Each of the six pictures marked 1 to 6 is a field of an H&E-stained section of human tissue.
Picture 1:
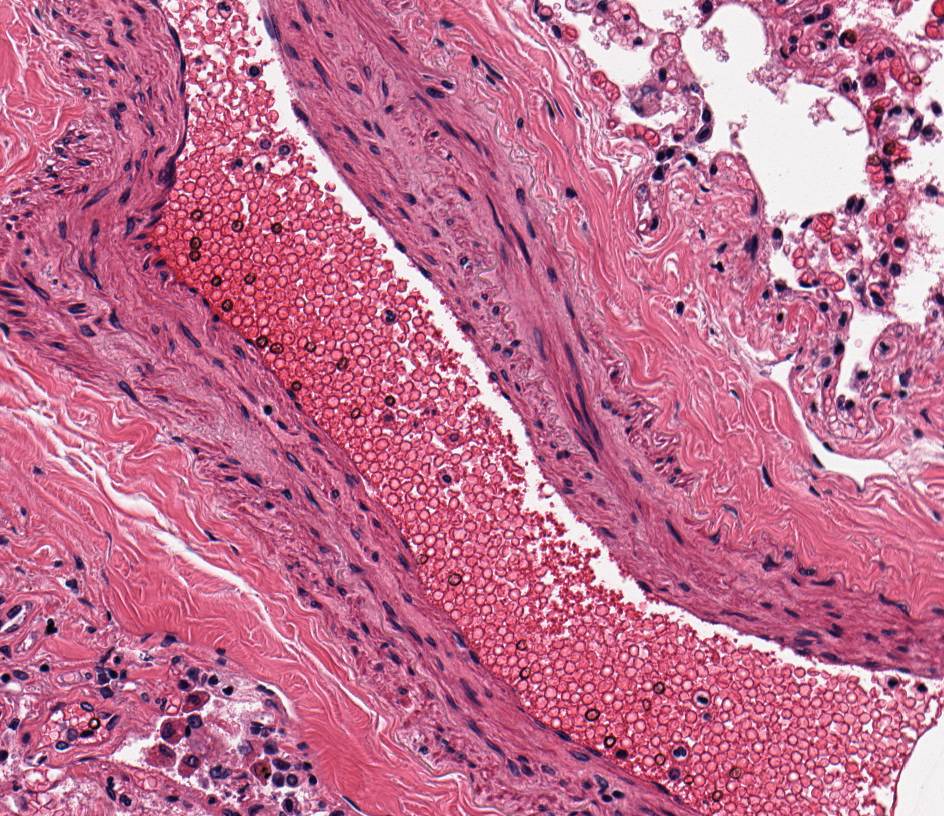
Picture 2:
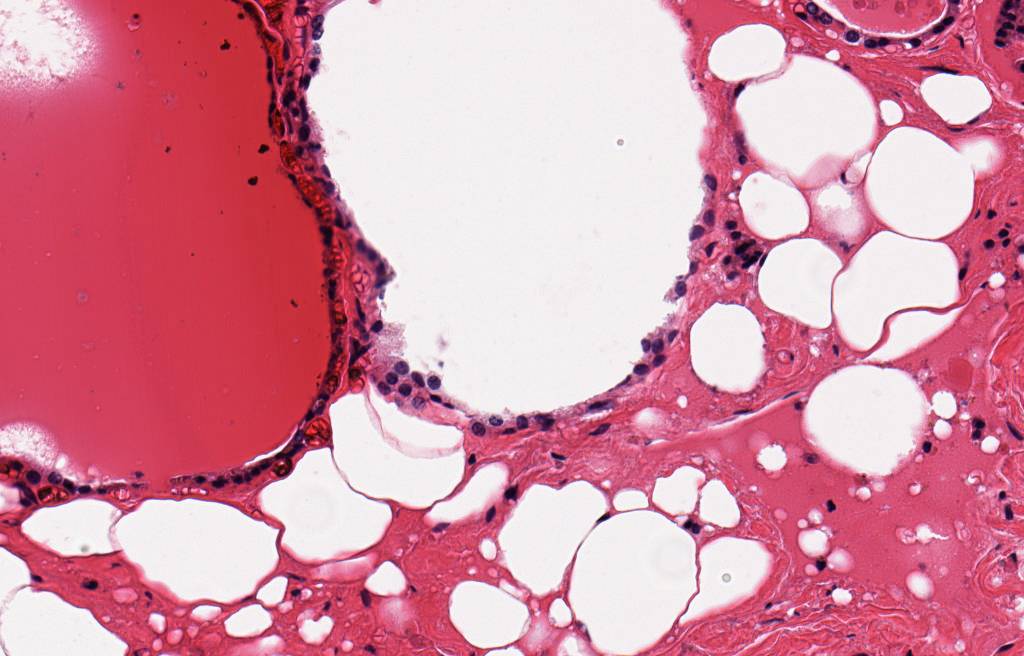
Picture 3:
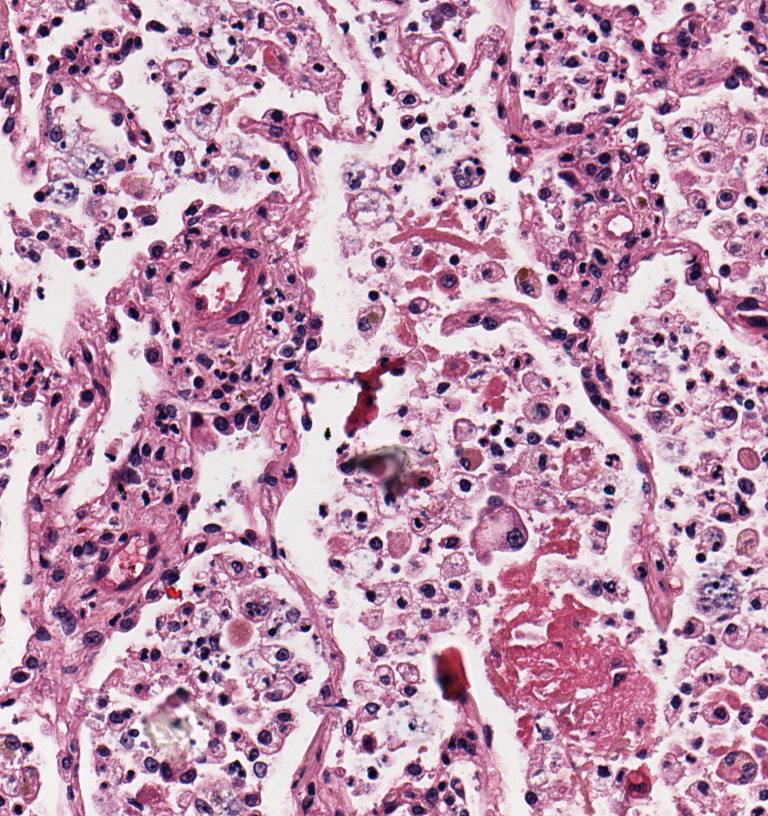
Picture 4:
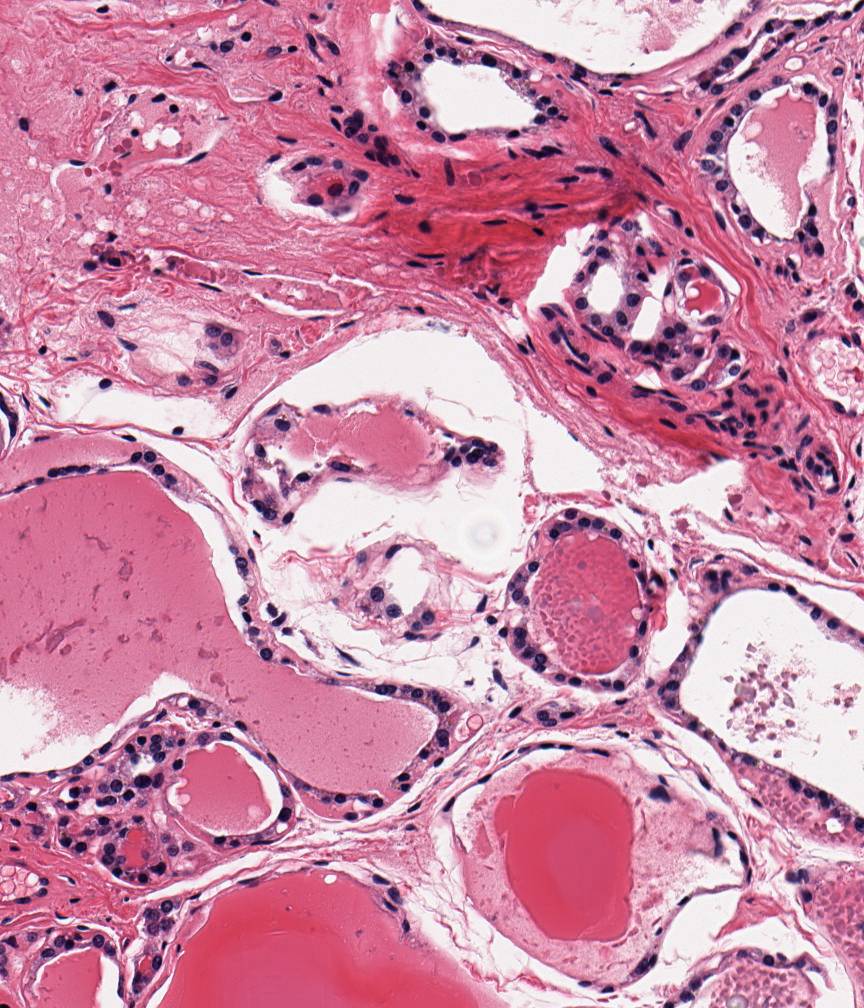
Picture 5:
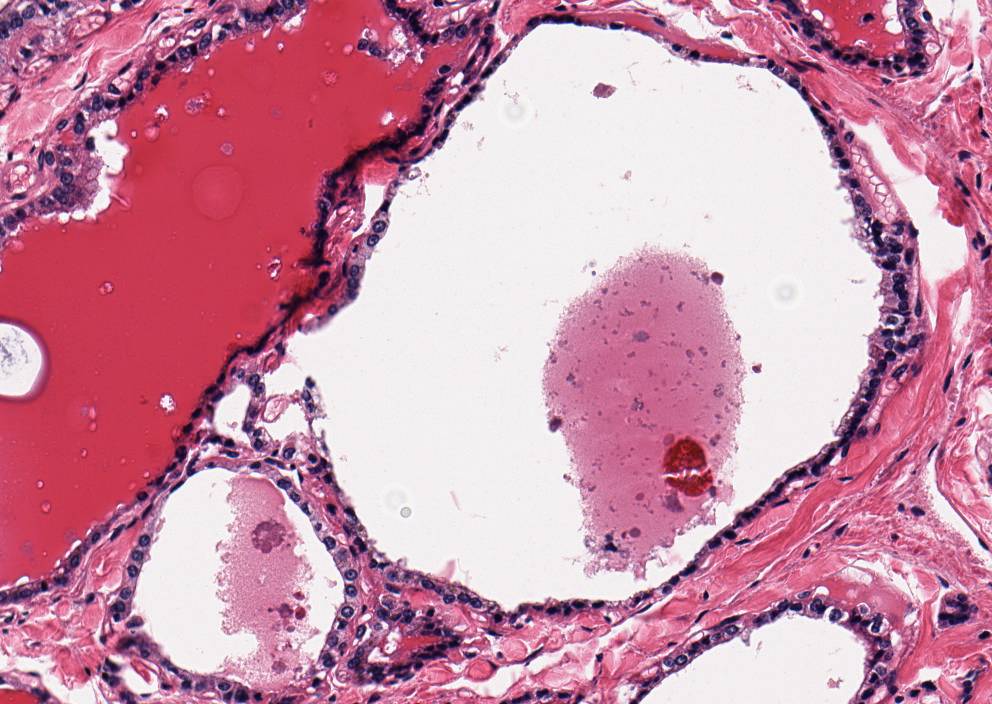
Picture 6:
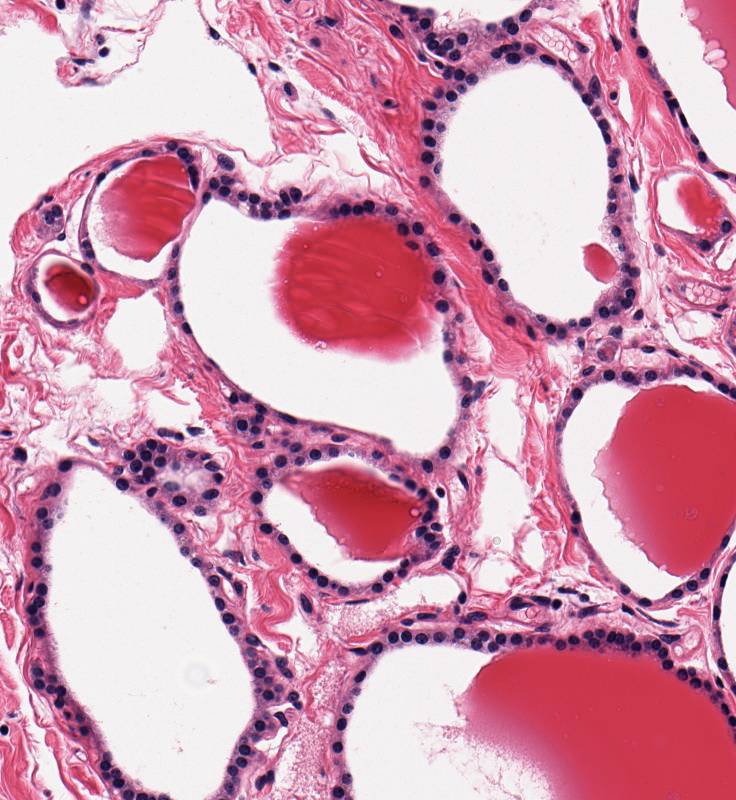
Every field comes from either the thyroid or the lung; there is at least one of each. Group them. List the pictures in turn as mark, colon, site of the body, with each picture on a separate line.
1: lung
2: thyroid
3: lung
4: thyroid
5: thyroid
6: thyroid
